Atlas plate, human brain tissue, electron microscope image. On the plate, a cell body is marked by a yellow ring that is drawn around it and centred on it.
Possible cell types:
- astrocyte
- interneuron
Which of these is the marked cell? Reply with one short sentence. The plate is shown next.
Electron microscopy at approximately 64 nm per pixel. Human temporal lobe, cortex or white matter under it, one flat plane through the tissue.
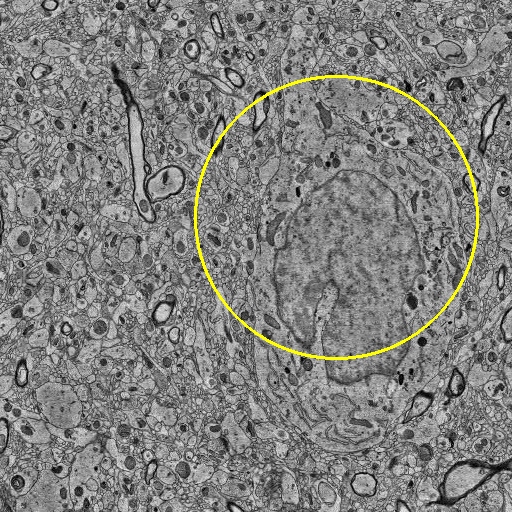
The marked cell is an interneuron.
